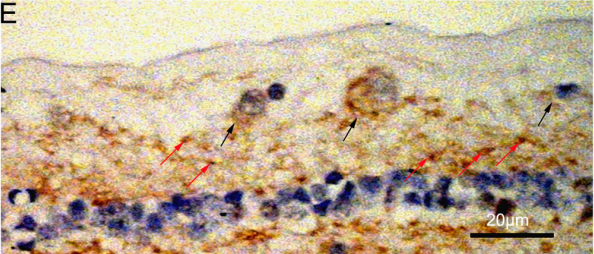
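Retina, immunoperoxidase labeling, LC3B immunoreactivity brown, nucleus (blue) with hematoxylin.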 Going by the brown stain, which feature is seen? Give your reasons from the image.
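Granules. The brown stain is made of small discrete dots rather than a smooth wash. The dots cluster in the cytoplasm of the large cells and along fibres below them.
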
